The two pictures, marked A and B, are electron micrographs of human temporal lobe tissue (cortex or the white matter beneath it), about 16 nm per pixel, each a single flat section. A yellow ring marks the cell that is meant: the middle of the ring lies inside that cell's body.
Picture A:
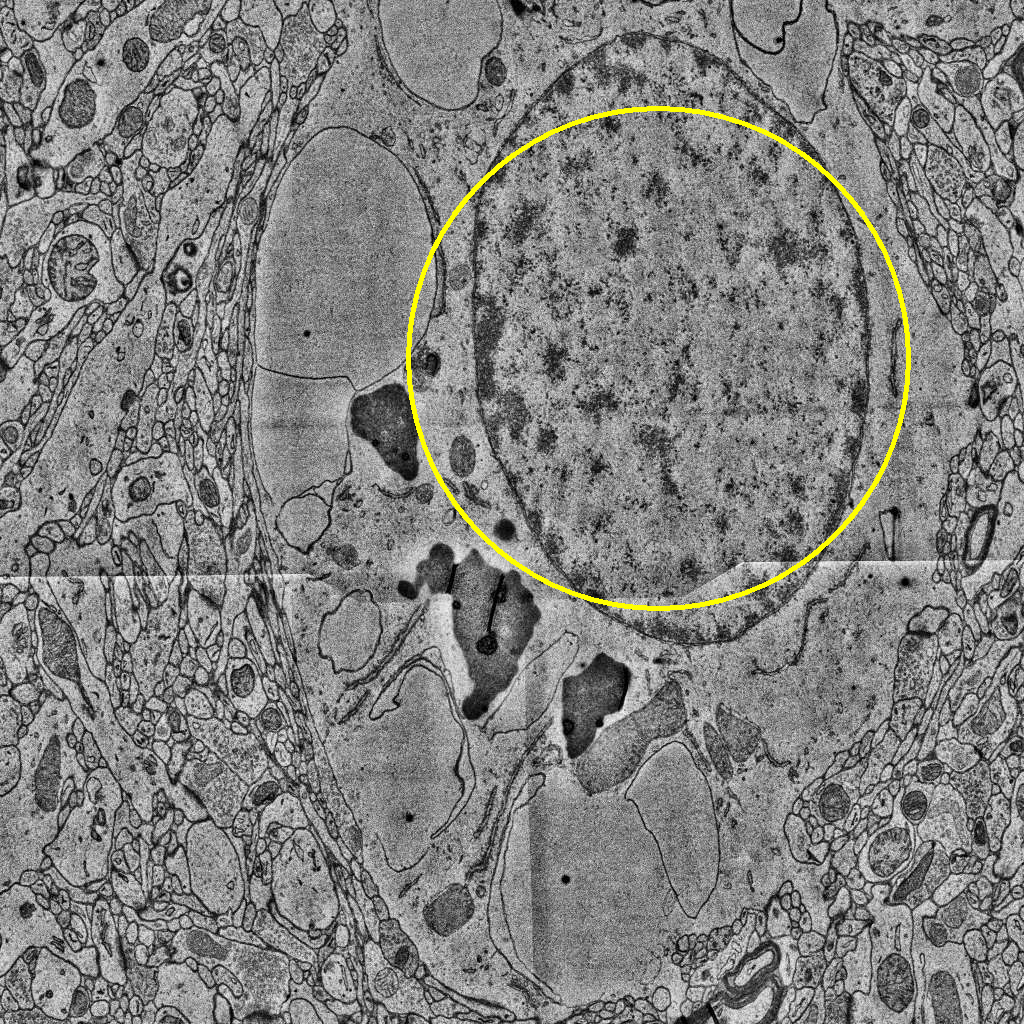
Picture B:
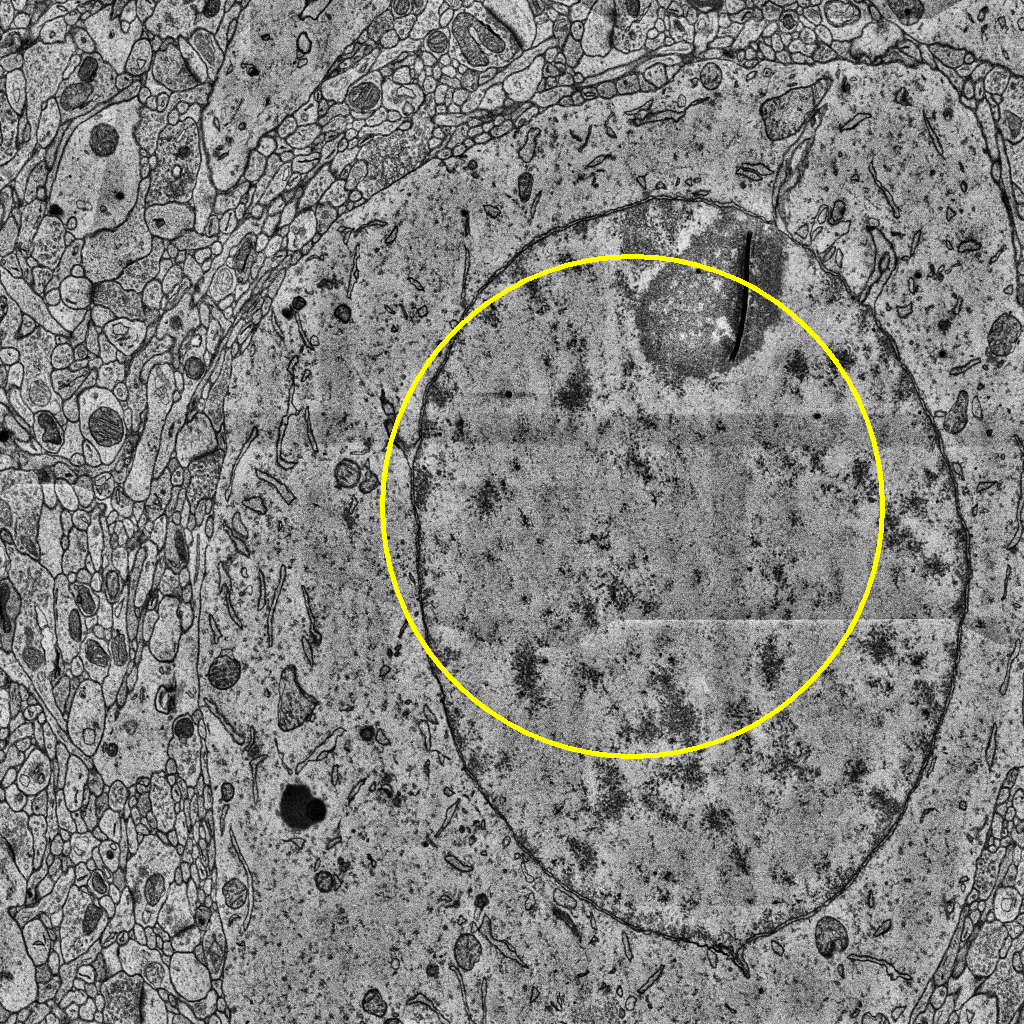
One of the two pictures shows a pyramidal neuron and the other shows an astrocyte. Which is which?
It is picture A that shows an astrocyte, and picture B that shows a pyramidal neuron.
